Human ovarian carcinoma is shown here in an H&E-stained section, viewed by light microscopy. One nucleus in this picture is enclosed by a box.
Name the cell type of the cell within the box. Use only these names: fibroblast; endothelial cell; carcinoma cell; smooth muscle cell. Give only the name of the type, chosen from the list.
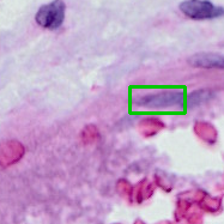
endothelial cell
